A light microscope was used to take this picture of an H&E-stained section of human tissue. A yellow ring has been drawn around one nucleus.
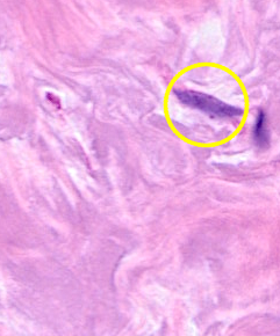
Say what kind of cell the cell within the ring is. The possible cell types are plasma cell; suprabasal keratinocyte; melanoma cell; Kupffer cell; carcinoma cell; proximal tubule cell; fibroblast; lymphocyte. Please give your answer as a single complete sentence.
At the level of cell identity, the cell within the ring is a fibroblast.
